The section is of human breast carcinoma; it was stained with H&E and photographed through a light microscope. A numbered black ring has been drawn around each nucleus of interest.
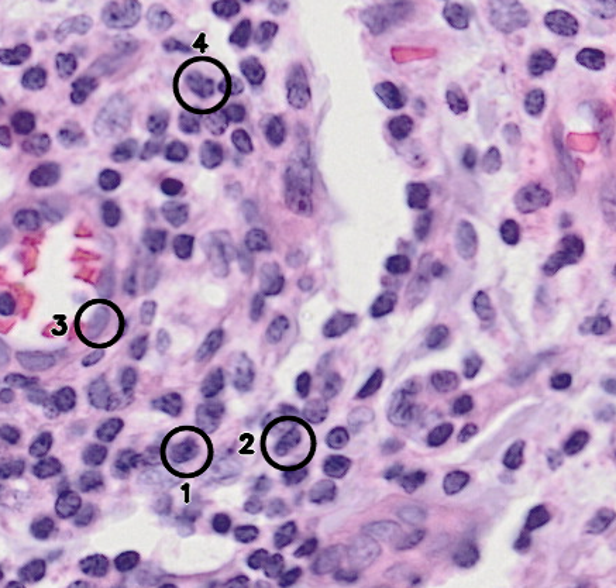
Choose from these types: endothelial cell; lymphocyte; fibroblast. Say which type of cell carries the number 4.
lymphocyte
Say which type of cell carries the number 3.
endothelial cell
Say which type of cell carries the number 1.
lymphocyte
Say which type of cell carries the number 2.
lymphocyte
